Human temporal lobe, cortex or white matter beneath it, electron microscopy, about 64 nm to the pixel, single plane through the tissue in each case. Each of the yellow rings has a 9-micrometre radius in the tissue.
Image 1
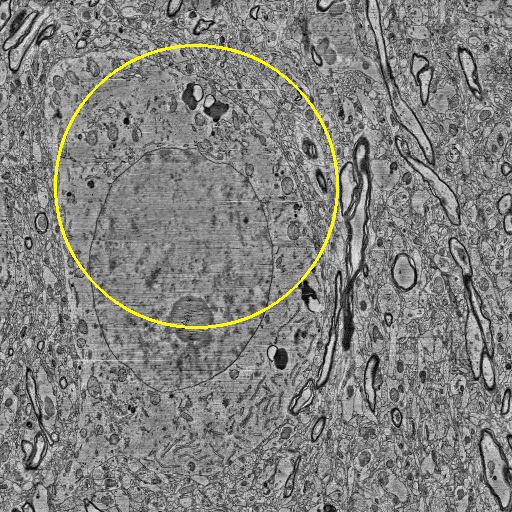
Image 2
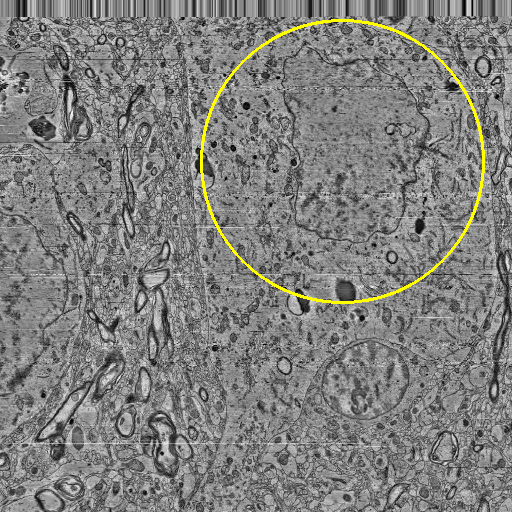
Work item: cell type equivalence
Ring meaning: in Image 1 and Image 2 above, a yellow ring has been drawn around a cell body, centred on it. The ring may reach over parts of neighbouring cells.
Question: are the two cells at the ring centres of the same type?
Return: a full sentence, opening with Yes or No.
Yes, the two centred cells are of the same type.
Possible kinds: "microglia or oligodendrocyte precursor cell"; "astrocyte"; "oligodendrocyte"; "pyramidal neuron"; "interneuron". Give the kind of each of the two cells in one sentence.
The first and the second cell are each a pyramidal neuron.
